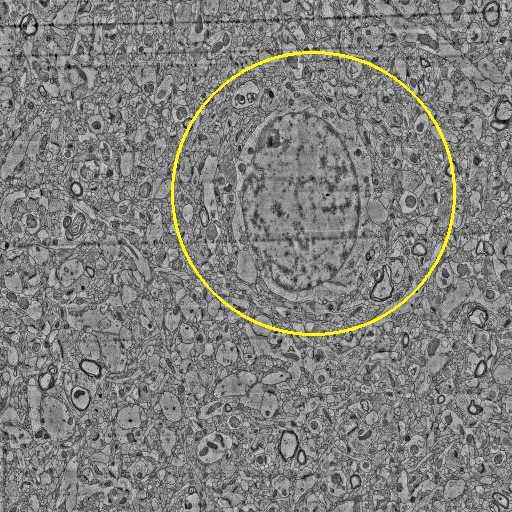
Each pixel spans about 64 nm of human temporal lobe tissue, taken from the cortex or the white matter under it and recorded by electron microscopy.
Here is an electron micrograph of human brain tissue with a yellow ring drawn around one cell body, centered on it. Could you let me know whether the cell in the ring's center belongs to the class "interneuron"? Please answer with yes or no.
yes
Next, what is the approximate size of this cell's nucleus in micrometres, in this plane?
About 11 by 8 micrometres; in this plane the nucleus is clearly longer than it is wide.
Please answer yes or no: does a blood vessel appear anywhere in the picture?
No, the image shows no blood vessel.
